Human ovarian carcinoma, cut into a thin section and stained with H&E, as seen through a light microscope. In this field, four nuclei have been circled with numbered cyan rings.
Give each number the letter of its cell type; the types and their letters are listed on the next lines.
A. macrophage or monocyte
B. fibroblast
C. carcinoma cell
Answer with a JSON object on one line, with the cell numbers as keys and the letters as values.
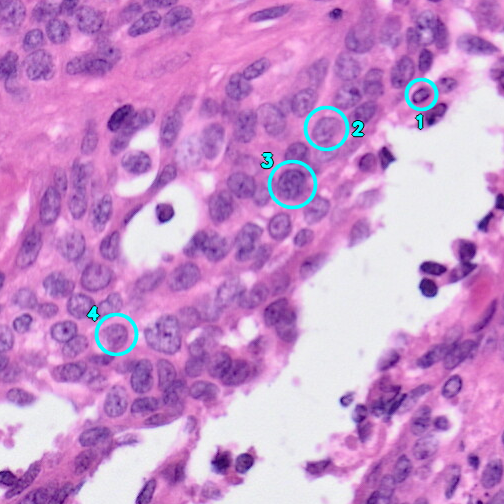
{"1": "A", "2": "C", "3": "C", "4": "C"}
